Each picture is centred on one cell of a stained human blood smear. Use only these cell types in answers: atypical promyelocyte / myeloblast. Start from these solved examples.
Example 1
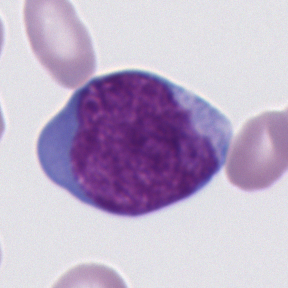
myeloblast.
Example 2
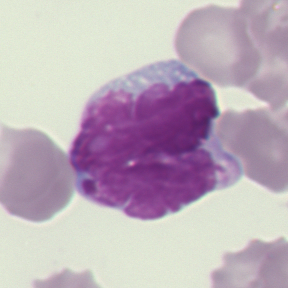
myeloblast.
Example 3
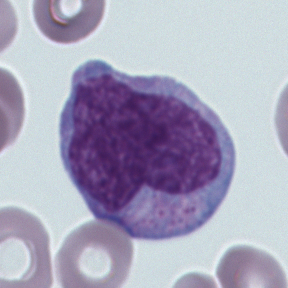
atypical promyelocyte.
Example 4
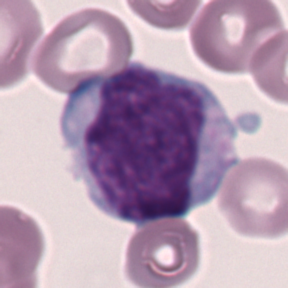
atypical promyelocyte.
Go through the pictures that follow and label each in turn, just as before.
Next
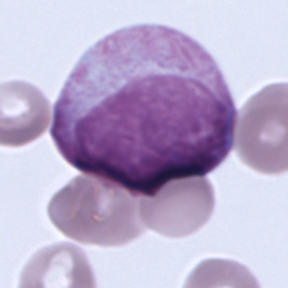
atypical promyelocyte.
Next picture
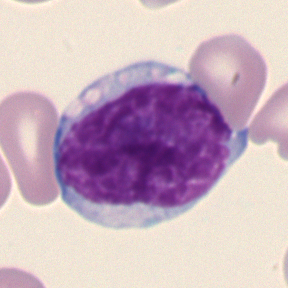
myeloblast.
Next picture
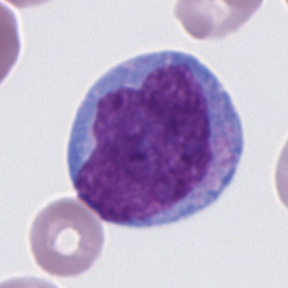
atypical promyelocyte.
